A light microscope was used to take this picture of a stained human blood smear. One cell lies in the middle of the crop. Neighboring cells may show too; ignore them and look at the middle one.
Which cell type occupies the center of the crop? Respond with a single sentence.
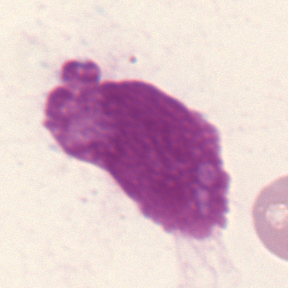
The centered cell in this crop is a smudge cell.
